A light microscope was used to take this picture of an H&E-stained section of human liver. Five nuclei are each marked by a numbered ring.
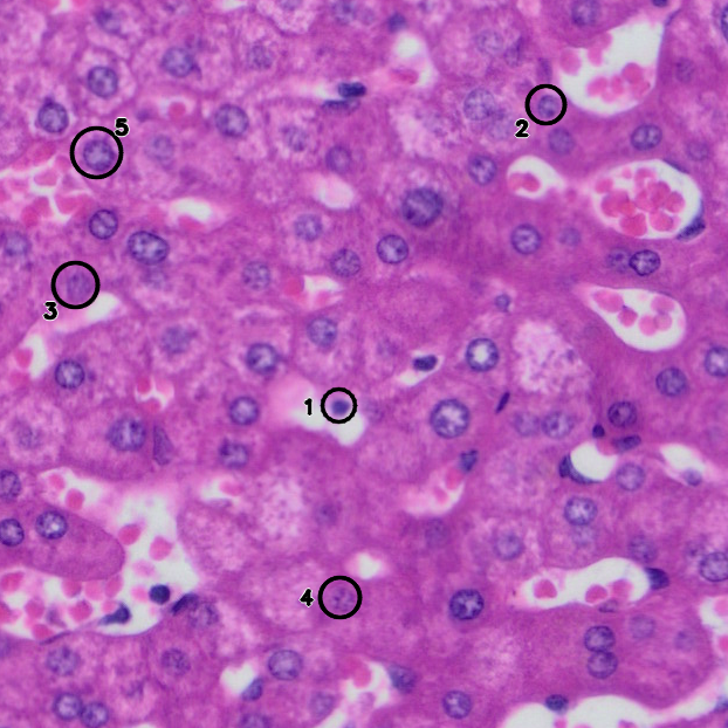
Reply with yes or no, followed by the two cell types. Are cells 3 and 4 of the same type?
Yes, both are hepatocytes.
